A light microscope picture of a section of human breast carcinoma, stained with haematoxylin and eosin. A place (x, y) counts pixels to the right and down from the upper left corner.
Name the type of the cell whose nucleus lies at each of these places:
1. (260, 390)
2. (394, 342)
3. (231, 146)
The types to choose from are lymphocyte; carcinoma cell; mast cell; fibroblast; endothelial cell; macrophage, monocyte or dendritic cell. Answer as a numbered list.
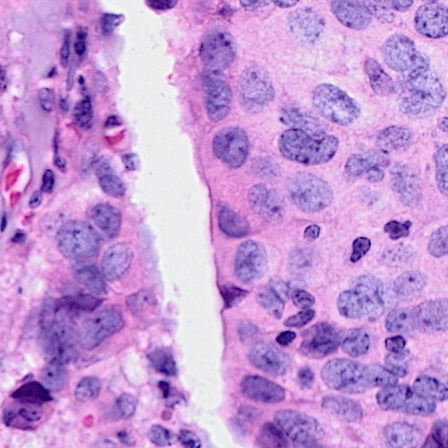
1. carcinoma cell
2. lymphocyte
3. carcinoma cell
